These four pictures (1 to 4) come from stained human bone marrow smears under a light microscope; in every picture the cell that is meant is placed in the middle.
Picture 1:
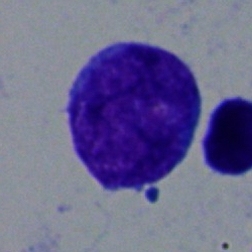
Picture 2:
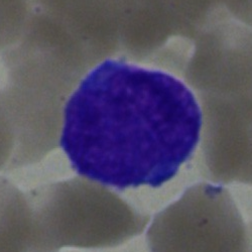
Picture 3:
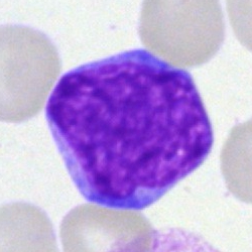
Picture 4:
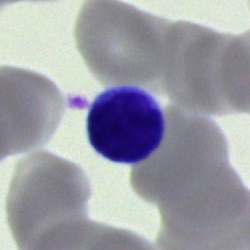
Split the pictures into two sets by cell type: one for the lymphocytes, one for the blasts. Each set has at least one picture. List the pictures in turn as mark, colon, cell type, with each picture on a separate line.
1: blast
2: blast
3: blast
4: lymphocyte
